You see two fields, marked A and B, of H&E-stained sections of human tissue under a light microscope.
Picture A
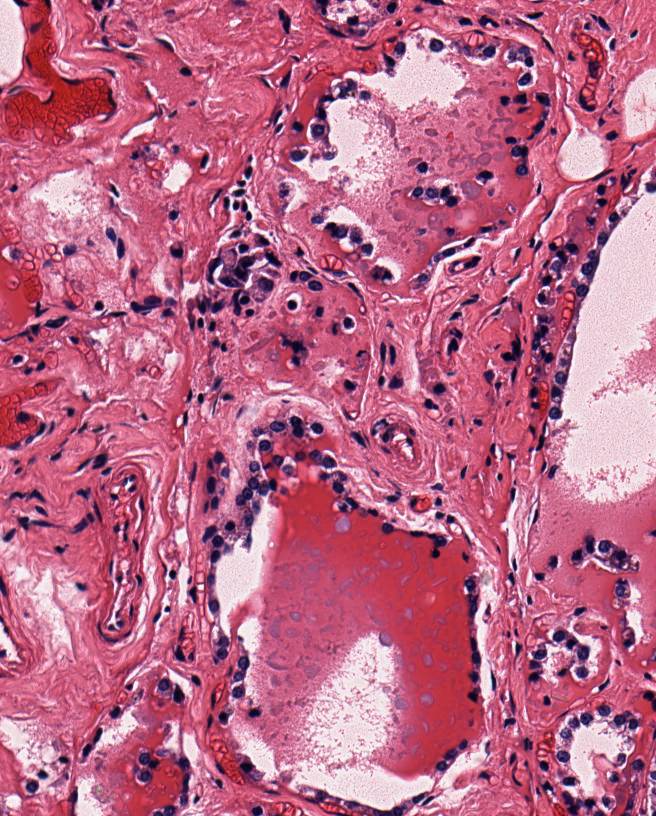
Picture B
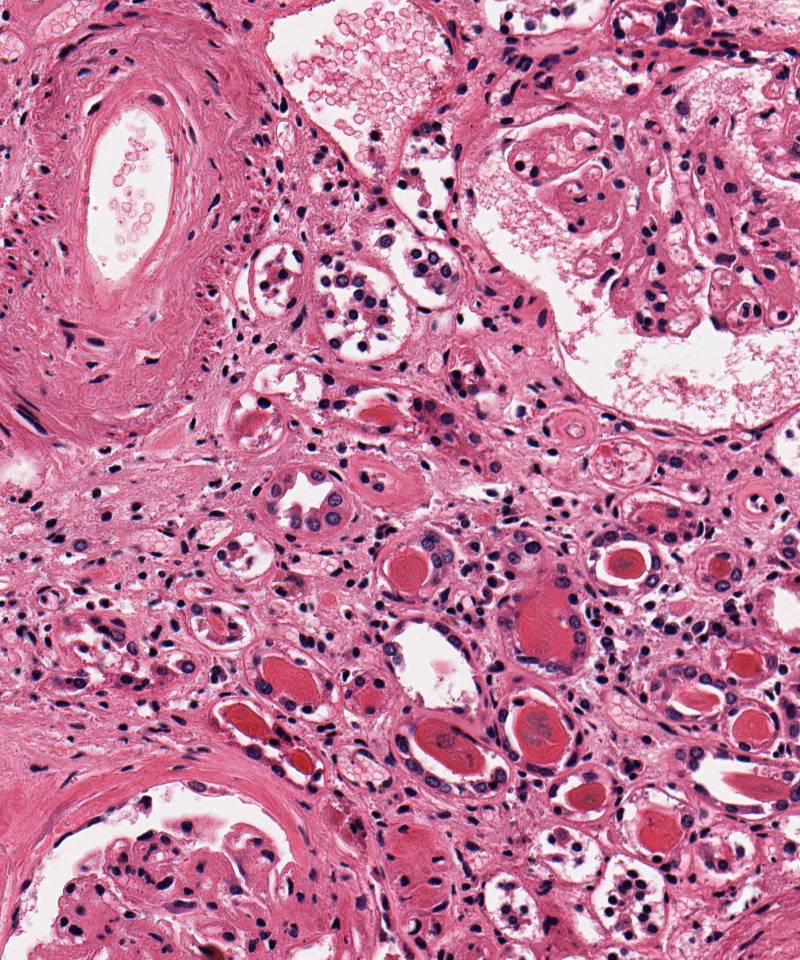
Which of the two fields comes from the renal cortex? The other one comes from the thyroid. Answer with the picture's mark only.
B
